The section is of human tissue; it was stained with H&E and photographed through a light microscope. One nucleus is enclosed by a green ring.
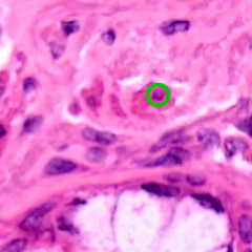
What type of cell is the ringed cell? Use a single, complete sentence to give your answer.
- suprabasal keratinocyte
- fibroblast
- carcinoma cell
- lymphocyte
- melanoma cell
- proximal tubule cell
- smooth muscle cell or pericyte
Right, so the ringed cell is a smooth muscle cell or pericyte, to answer that.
